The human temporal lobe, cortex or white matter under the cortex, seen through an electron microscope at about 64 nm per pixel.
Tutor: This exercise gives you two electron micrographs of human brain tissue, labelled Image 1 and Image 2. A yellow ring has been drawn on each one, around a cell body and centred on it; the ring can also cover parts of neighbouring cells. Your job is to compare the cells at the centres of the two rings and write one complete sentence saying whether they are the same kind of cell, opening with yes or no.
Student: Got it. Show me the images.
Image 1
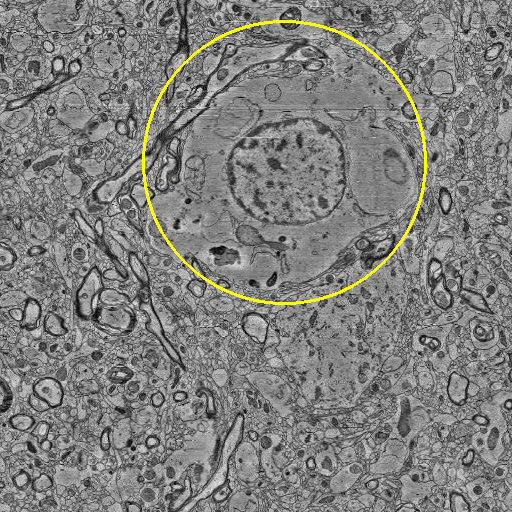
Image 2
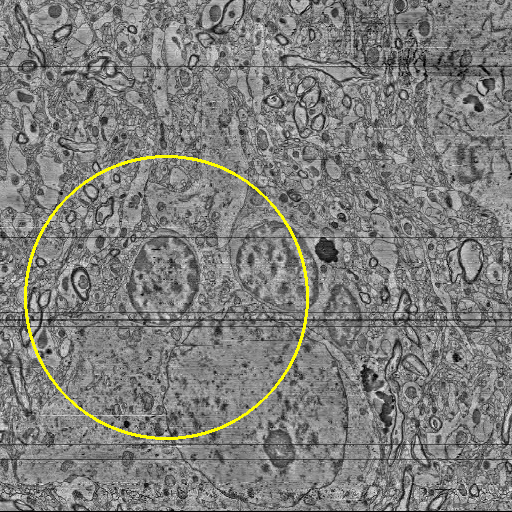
No, the two cells belong to two kinds.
